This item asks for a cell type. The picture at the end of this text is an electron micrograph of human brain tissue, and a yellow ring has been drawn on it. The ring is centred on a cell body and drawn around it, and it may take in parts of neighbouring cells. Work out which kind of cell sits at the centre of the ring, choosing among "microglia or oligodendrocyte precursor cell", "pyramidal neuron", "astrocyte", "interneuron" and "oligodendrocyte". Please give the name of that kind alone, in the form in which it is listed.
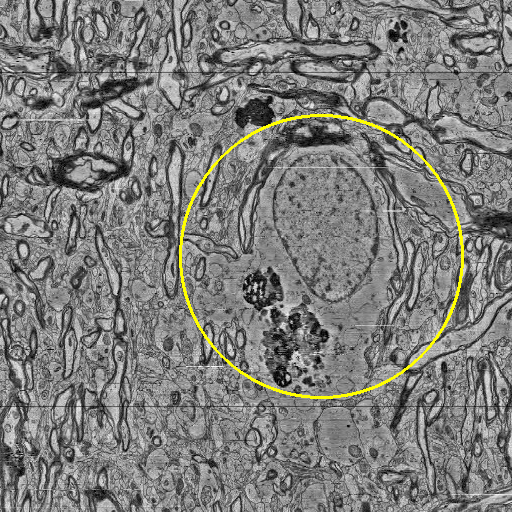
astrocyte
